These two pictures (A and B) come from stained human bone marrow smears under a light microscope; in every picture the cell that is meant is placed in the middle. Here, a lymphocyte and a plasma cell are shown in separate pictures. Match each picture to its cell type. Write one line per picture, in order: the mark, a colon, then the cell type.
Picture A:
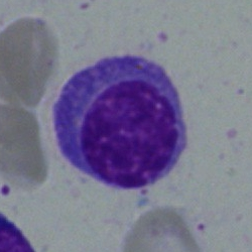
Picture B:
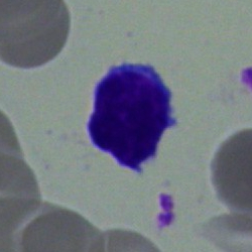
A: plasma cell
B: lymphocyte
